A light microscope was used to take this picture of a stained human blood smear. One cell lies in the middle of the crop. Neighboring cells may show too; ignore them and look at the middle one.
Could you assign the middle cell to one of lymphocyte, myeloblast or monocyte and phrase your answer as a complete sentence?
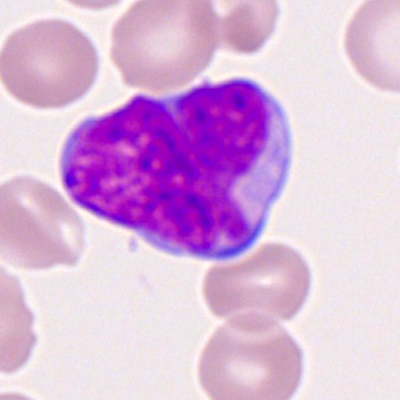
The middle position in this crop is taken by a myeloblast.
